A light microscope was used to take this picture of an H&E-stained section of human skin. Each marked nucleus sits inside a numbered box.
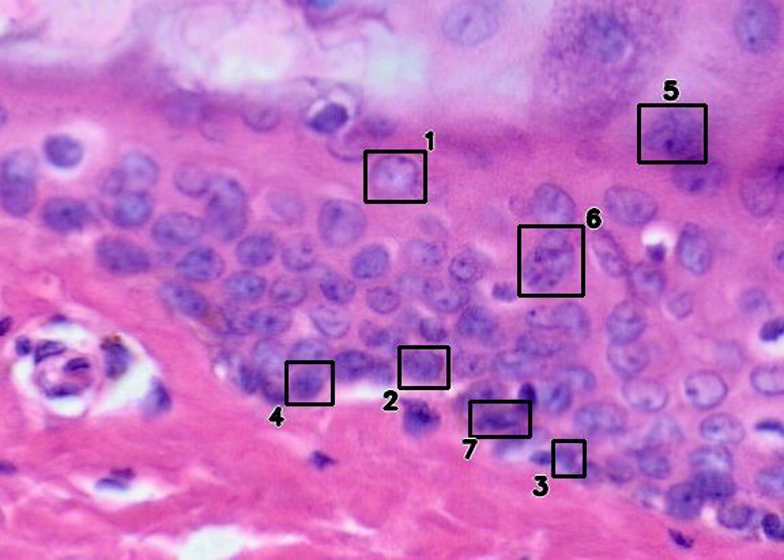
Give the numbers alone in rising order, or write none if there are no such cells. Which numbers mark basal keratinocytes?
2, 3, 4, 7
